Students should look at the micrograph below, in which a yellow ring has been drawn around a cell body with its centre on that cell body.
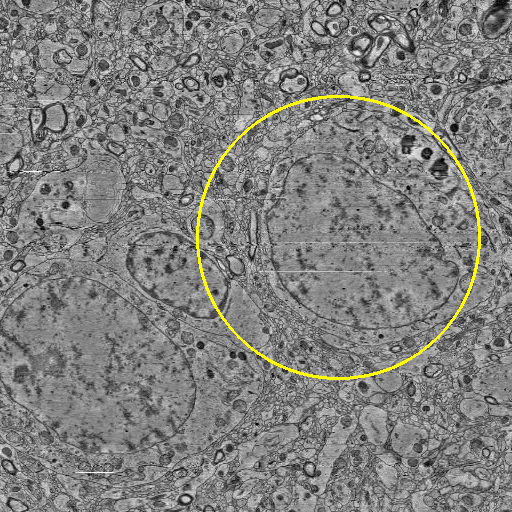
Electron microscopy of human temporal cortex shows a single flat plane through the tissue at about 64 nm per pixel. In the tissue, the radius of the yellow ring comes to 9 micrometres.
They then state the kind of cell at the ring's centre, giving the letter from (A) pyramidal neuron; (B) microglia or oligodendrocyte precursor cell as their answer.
A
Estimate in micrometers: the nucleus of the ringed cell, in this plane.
The nucleus is approximately 14 micrometers long by 10 micrometers wide in this plane.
